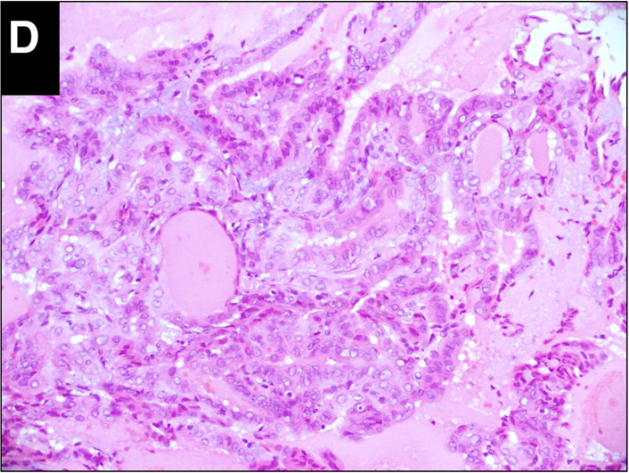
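Thyroid tissue with crowded epithelial cells of papillary thyroid carcinoma. The cells form elongated, branching tubules and glands separated by pink, colloid-like or hyalinised material and thin stroma. The nuclei are enlarged, oval and crowded, and they often overlap one another. The cytoplasm is pale pink to clear. A small rounded follicle holding dense pink colloid is seen among the tumour glands. Spindle-shaped stromal nuclei lie between the epithelial structures.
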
